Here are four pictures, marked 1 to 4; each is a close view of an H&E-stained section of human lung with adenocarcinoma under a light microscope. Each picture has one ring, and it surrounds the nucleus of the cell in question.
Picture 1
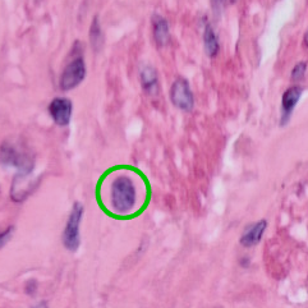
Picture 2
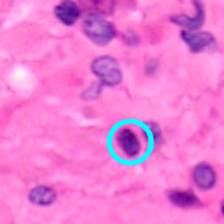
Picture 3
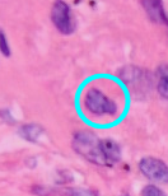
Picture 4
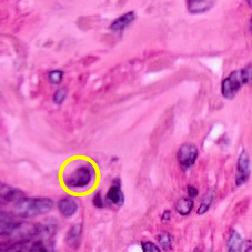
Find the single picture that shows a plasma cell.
4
